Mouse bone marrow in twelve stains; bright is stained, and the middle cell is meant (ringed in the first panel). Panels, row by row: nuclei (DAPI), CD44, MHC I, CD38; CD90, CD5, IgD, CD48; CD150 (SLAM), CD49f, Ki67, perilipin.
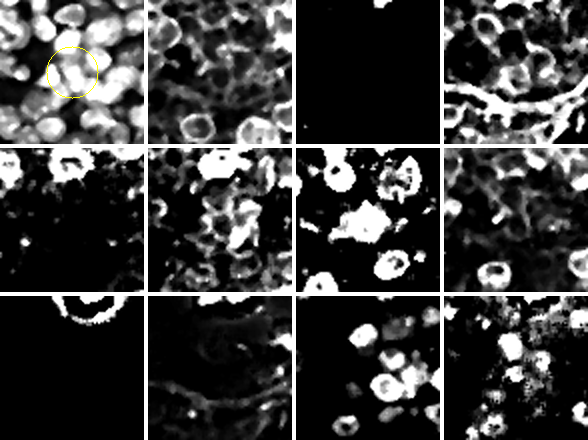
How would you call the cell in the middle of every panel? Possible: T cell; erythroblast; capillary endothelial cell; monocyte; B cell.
I would call it a B cell.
